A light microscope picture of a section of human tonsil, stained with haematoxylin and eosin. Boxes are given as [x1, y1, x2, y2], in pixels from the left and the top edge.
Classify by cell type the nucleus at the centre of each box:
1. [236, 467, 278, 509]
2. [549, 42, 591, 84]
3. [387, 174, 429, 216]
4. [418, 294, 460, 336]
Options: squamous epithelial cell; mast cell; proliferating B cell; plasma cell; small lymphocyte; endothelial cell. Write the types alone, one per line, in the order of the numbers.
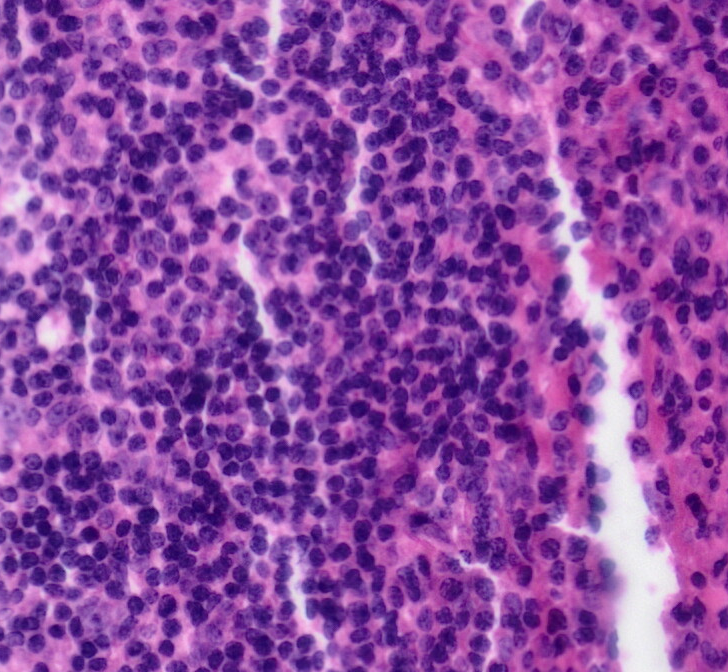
small lymphocyte
plasma cell
small lymphocyte
small lymphocyte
